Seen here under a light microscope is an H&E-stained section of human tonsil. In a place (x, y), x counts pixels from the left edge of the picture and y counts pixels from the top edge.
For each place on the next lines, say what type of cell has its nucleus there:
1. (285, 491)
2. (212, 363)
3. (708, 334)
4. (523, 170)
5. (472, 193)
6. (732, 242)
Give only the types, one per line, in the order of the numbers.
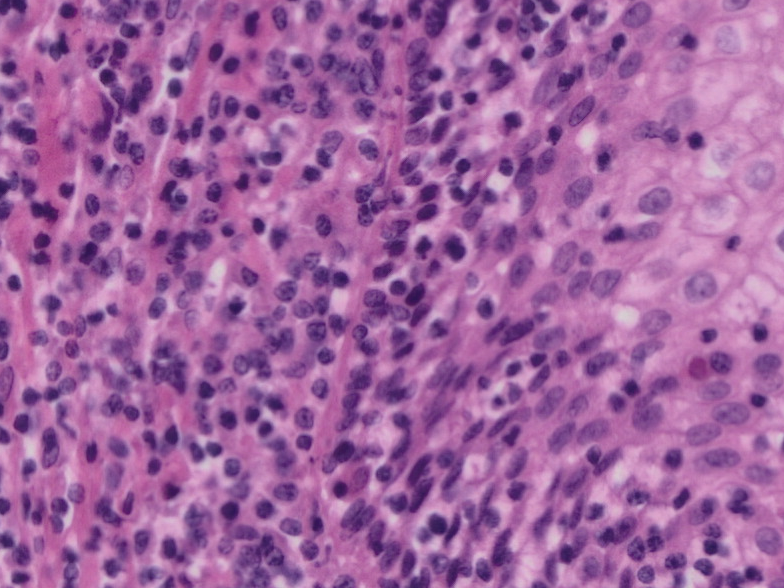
plasma cell
plasma cell
squamous epithelial cell
squamous epithelial cell
squamous epithelial cell
squamous epithelial cell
